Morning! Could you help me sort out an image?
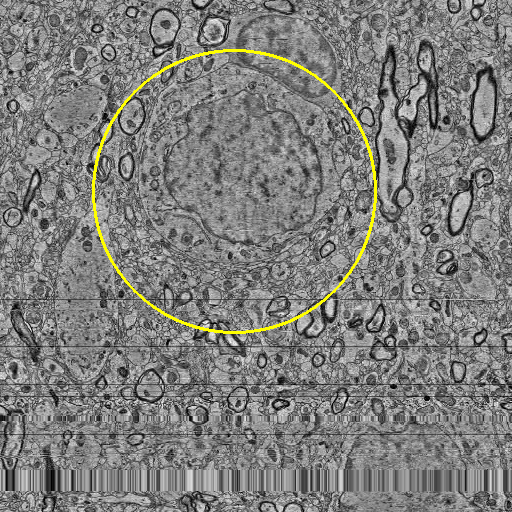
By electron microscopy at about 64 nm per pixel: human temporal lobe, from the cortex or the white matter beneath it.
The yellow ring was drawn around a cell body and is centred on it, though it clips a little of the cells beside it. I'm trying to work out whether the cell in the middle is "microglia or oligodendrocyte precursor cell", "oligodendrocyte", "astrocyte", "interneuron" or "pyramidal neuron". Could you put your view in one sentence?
The ringed cell body is that of an interneuron.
